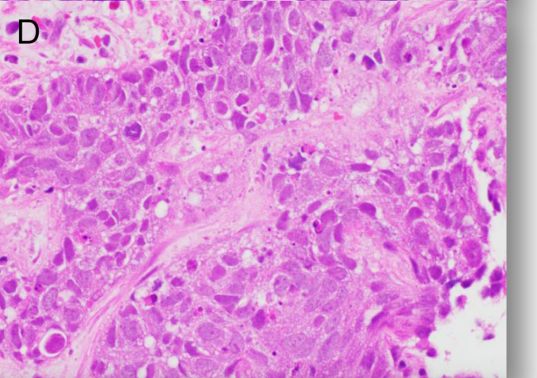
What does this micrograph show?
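High-power view of a tumor composed of large polygonal cells with a moderate amount of pink, finely granular cytoplasm. The cells are arranged in nests and sheets separated by thin bands of pink fibrous stroma. Some cells contain small clear vacuoles or rounded pink inclusions within the cytoplasm. Cell borders are fairly distinct in places, giving the sheets a cohesive appearance.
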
